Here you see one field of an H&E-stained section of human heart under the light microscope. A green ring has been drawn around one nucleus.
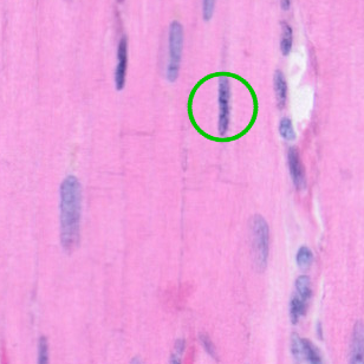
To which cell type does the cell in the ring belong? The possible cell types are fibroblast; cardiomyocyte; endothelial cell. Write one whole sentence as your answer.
In this preparation, the cell in the ring is an endothelial cell.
